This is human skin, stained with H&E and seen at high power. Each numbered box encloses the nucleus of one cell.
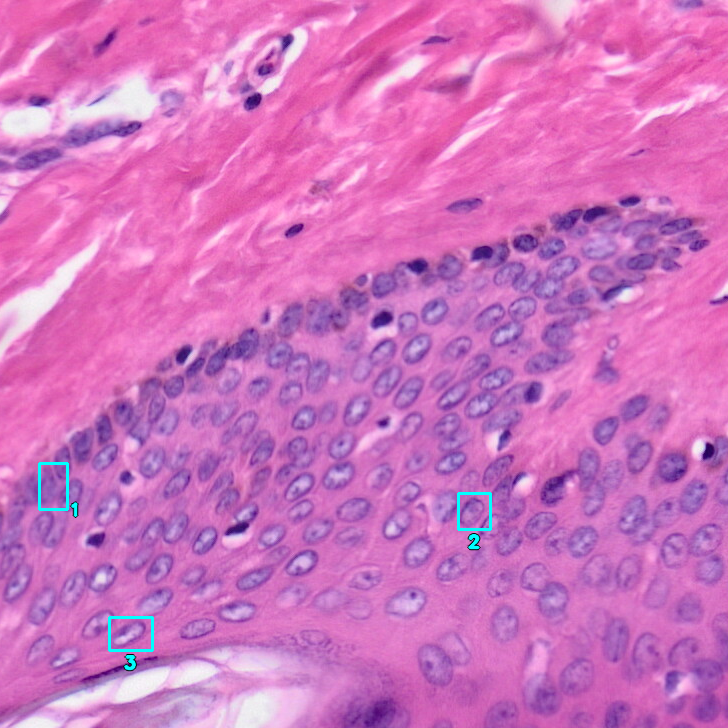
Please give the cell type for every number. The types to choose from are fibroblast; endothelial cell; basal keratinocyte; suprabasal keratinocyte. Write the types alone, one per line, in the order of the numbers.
basal keratinocyte
suprabasal keratinocyte
suprabasal keratinocyte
